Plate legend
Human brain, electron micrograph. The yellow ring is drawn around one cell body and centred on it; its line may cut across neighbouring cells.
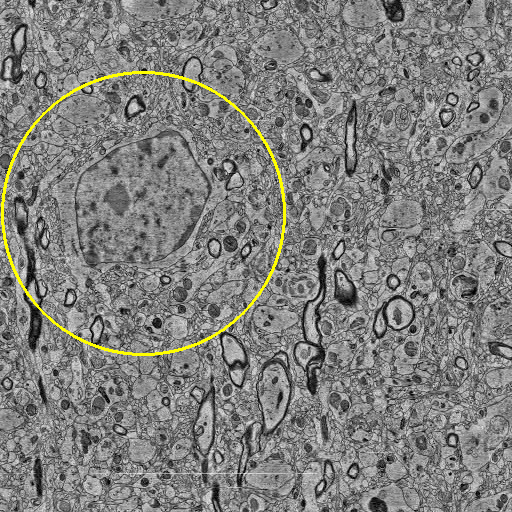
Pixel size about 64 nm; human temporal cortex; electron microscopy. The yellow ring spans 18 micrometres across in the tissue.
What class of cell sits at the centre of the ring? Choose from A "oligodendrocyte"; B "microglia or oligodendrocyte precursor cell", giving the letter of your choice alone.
B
